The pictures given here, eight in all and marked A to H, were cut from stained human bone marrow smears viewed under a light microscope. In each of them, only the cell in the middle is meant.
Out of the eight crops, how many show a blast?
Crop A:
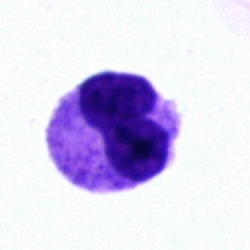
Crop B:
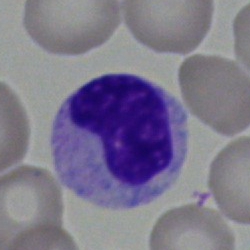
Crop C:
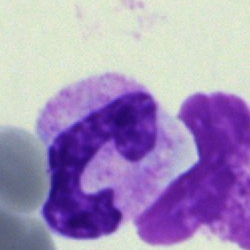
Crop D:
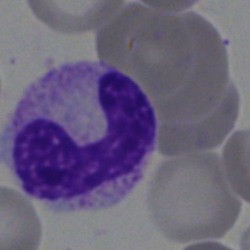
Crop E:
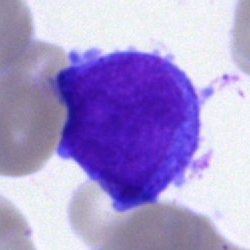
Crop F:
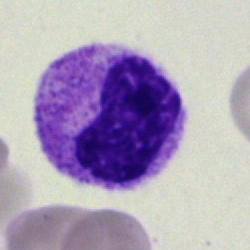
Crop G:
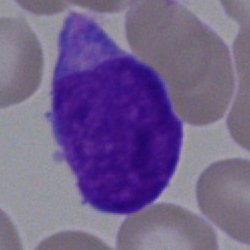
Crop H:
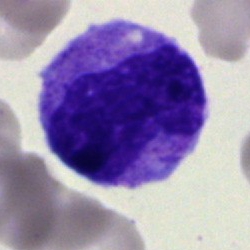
2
